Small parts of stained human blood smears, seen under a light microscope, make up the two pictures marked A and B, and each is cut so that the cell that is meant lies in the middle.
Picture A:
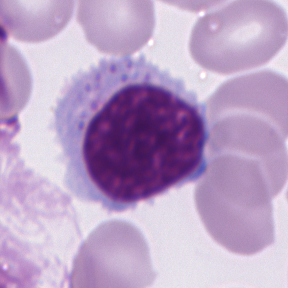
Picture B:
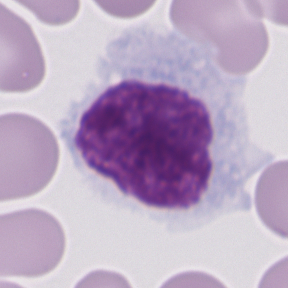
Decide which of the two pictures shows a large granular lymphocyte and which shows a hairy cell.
A: large granular lymphocyte
B: hairy cell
